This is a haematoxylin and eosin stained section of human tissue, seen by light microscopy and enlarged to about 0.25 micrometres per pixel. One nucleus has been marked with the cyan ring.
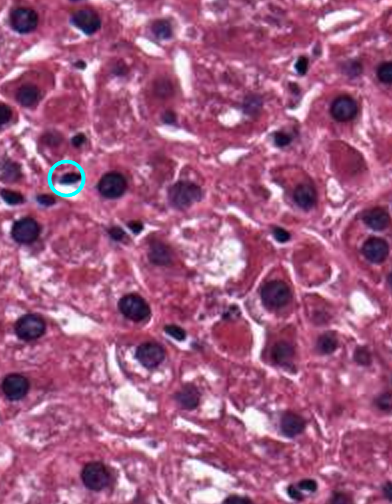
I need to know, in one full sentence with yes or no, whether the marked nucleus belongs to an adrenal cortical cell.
No, the marked nucleus is part of a supporting cell and does not belong to an adrenal cortical cell.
